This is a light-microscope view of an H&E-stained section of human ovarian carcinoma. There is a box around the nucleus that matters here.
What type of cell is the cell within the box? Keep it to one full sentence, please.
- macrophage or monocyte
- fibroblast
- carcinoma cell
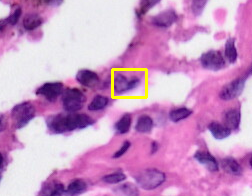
In cell-type terms, the cell within the box is a macrophage or monocyte.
